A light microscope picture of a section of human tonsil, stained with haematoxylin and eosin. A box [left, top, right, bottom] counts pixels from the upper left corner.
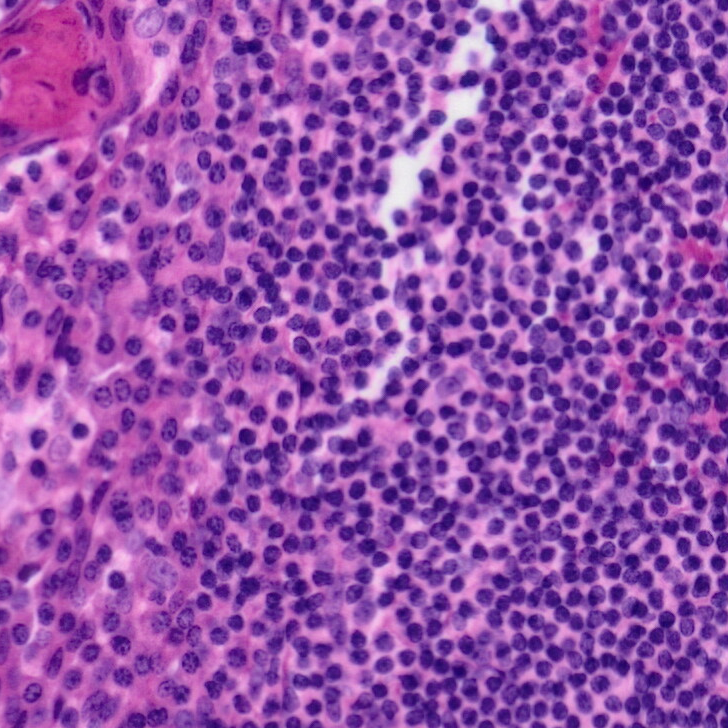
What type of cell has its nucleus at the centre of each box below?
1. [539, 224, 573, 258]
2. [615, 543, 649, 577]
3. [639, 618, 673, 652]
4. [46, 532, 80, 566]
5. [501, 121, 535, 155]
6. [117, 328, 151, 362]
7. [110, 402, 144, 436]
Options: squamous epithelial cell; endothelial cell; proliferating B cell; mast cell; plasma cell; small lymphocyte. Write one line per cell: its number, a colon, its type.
1: small lymphocyte
2: small lymphocyte
3: small lymphocyte
4: plasma cell
5: small lymphocyte
6: plasma cell
7: plasma cell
